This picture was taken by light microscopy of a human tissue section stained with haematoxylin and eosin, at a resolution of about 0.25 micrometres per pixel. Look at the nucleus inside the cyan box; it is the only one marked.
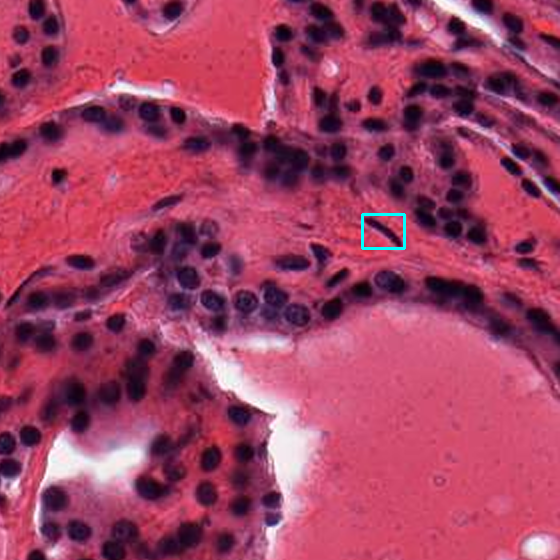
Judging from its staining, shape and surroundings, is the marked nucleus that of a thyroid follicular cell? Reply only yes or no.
no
